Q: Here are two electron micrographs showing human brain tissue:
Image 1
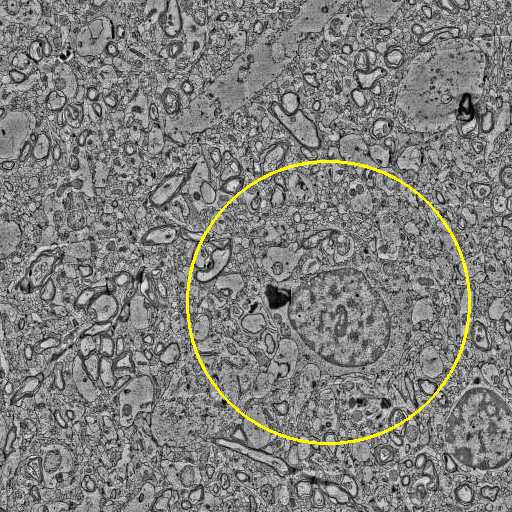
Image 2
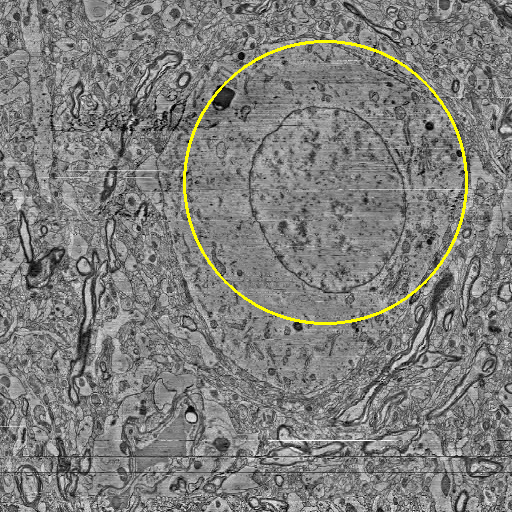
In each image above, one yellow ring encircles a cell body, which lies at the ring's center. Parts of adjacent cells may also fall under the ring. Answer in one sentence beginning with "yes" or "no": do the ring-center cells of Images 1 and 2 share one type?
No, in Images 1 and 2, the ring-center cells are of two types.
